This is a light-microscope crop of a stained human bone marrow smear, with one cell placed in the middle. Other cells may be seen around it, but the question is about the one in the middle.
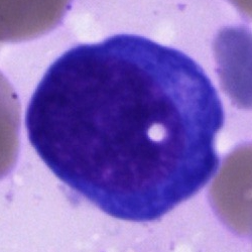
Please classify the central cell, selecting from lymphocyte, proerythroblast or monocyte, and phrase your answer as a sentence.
The cell found in the middle of this crop is a proerythroblast.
